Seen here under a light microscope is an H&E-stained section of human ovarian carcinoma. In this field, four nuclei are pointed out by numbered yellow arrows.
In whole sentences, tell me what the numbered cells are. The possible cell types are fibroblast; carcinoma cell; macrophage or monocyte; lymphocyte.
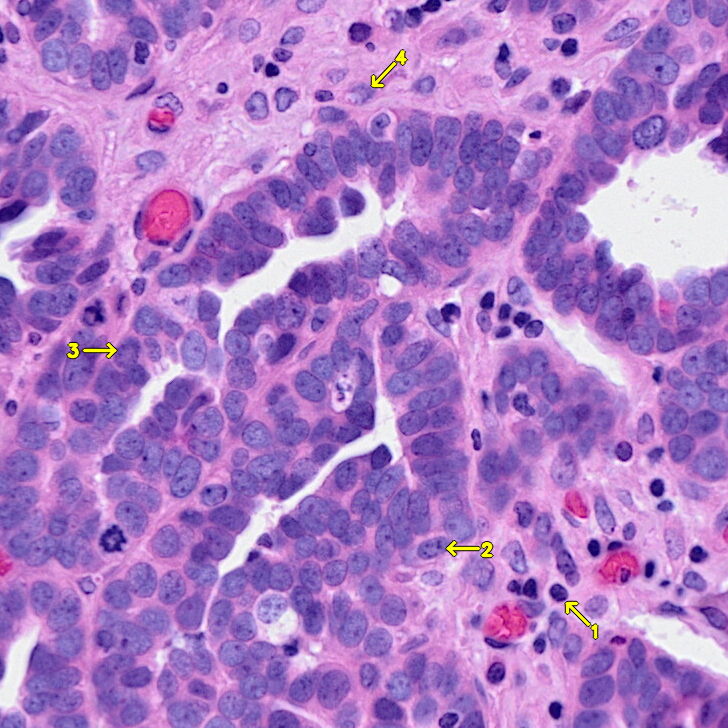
Cell 1 is a lymphocyte. Cell 2 is a macrophage or monocyte. Cell 3 is a carcinoma cell. Cell 4 is a fibroblast.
